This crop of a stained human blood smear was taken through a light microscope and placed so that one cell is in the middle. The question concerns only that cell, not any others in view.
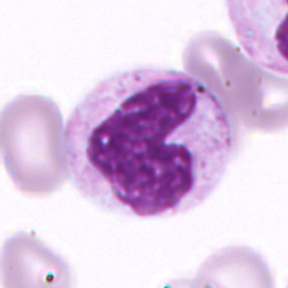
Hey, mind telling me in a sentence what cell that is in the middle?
Of the cells in this crop, the central one is a band neutrophil.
